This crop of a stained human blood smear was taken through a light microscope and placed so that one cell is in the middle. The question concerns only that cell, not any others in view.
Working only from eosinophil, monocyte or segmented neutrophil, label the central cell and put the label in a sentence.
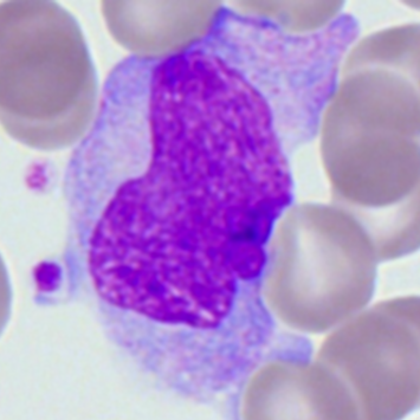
The cell that lies at the centre of the crop is a monocyte.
